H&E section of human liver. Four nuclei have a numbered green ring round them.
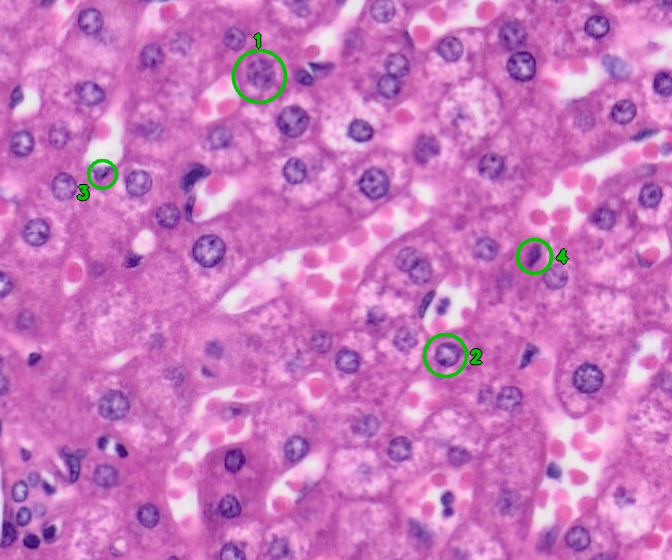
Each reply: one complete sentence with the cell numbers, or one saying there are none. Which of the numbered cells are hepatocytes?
The cells 1 and 2 in this section are hepatocytes.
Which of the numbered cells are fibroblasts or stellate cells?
Cell 4 is the single numbered cell that is a fibroblast or stellate cell.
